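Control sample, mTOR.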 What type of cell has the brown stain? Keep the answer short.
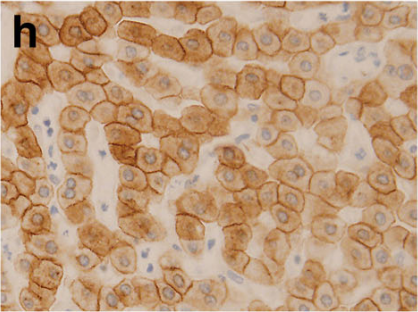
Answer: Hepatocytes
